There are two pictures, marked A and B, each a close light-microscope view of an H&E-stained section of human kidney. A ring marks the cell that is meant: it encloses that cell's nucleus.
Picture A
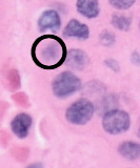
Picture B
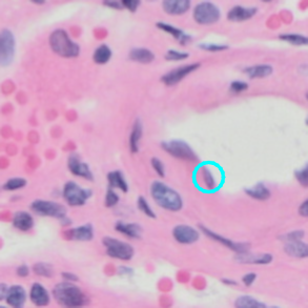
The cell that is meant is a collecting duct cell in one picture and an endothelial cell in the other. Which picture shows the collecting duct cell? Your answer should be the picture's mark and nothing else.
A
